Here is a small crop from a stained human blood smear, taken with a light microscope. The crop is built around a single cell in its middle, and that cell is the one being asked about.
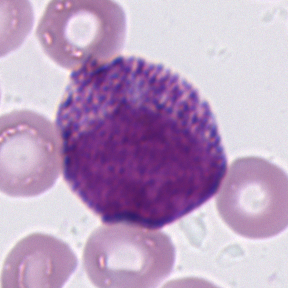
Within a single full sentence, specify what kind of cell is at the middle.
The cell featured at the centre of this crop is a promyelocyte.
